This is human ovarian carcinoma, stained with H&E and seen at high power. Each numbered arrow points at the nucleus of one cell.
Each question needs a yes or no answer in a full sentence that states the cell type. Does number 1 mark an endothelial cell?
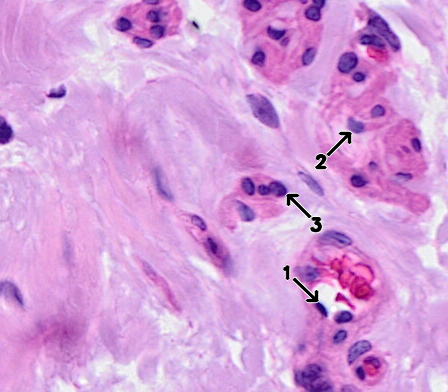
Yes, in this tissue section, number 1 is an endothelial cell.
